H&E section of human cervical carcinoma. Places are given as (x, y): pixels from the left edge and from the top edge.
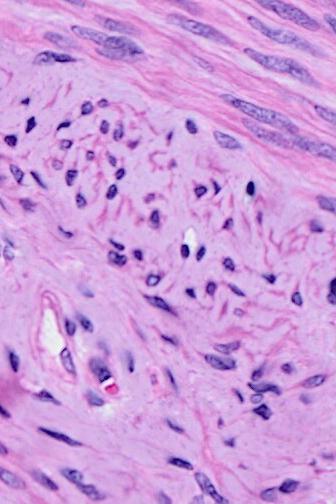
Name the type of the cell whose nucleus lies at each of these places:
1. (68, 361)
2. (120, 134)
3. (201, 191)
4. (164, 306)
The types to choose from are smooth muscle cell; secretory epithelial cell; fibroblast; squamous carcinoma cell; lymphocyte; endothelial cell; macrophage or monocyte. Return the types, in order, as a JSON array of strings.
["endothelial cell", "smooth muscle cell", "smooth muscle cell", "smooth muscle cell"]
